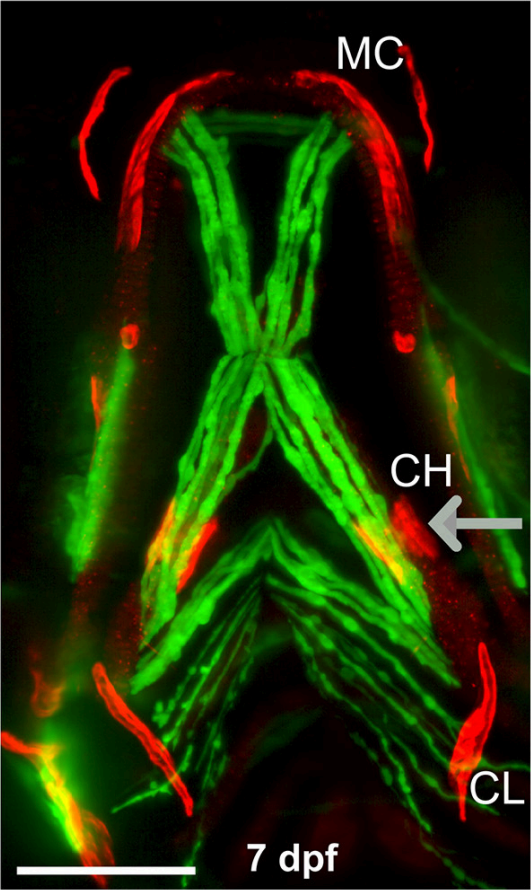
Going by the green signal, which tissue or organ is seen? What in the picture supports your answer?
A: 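Green long parallel fibres run in bundles. The bundles cross in an X across the floor of the jaw.
Conclusion: muscle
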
